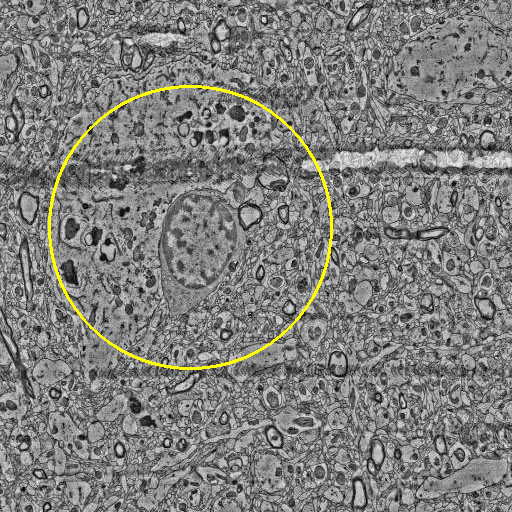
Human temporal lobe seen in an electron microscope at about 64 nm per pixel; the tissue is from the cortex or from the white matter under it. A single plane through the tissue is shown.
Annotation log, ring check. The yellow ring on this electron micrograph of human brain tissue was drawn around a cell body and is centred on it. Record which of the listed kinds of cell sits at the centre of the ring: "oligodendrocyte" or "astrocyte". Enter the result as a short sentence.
The cell at the centre of the ring is an oligodendrocyte.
